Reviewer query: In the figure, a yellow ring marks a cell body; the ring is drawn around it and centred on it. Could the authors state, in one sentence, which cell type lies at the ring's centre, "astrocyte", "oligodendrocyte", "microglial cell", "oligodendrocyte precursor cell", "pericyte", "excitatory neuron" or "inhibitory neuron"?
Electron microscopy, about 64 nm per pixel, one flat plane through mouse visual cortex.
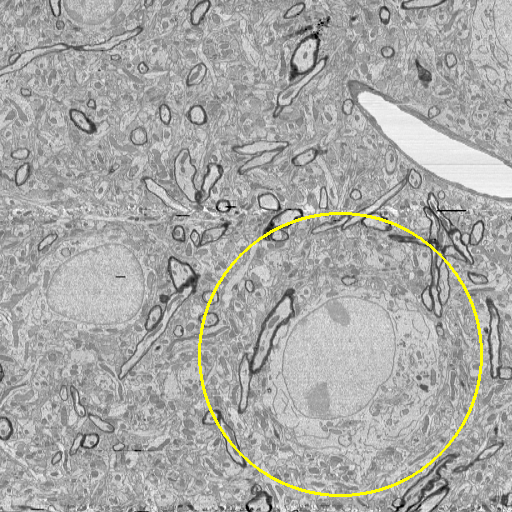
The ring is centred on an excitatory neuron.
